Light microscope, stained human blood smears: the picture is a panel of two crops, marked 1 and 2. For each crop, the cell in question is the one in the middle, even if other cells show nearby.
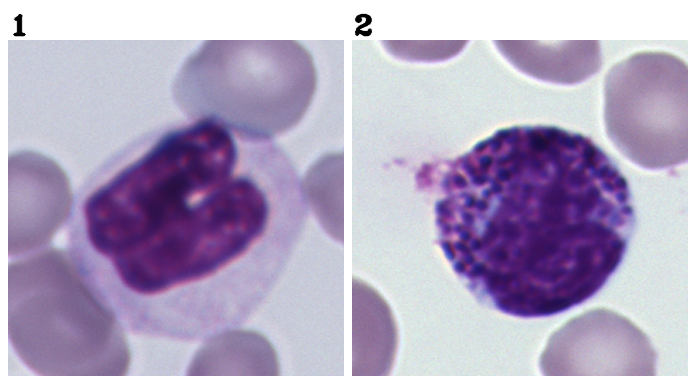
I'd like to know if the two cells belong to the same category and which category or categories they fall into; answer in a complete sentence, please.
No, as for crop 1, it shows a neutrophil, and crop 2 shows a basophil.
